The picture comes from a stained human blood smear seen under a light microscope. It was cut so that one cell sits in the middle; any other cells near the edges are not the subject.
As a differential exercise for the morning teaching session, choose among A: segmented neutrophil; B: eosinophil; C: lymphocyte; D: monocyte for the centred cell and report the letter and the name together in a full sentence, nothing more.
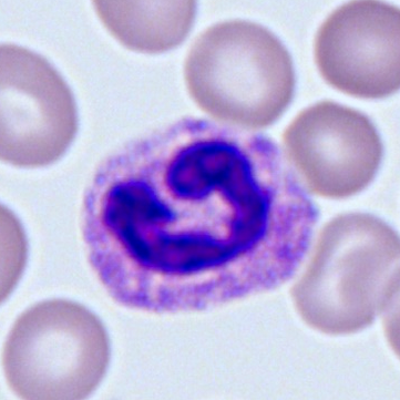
At the centre of the crop lies a segmented neutrophil, which makes option A correct.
